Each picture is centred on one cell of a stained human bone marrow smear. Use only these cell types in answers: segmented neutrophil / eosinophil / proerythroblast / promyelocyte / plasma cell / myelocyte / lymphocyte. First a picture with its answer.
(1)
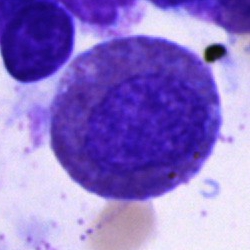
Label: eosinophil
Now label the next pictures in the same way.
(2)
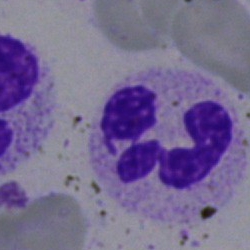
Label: segmented neutrophil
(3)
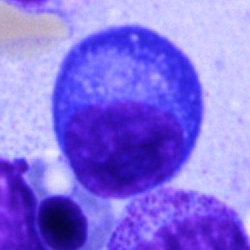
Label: plasma cell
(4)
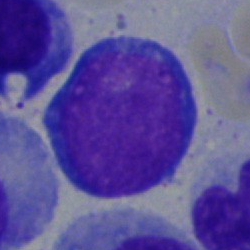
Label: proerythroblast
